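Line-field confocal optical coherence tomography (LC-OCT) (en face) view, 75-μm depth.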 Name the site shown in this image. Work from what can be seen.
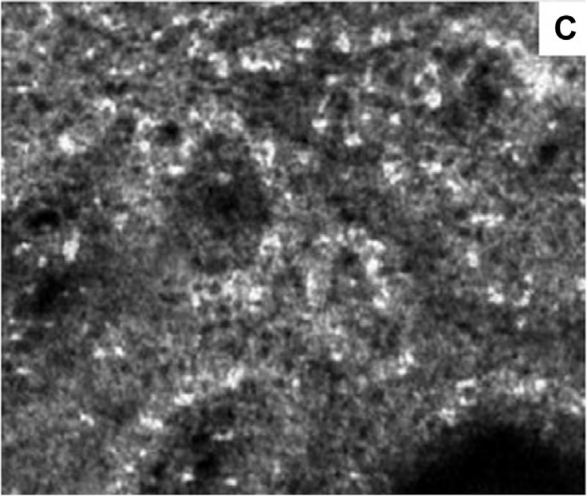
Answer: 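Dermoepidermal junction. Rounded darker zones are ringed by bright granular rims. The regular pattern of small dark dots seen higher in the epidermis is largely lost.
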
